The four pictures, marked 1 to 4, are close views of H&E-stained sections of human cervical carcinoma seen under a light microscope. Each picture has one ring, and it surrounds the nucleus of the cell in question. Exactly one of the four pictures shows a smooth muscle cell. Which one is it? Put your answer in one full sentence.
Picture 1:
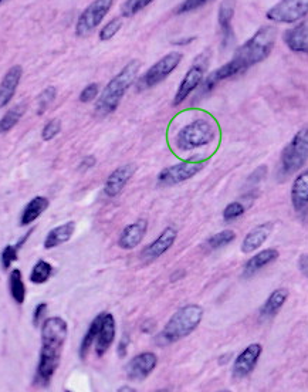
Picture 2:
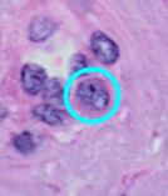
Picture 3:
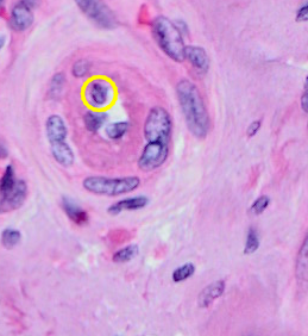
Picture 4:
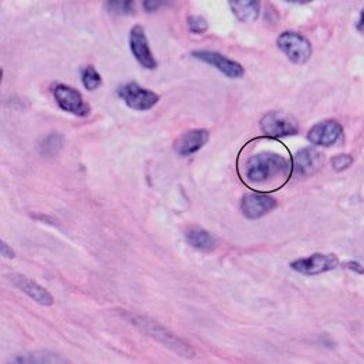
The picture with the smooth muscle cell is 1.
